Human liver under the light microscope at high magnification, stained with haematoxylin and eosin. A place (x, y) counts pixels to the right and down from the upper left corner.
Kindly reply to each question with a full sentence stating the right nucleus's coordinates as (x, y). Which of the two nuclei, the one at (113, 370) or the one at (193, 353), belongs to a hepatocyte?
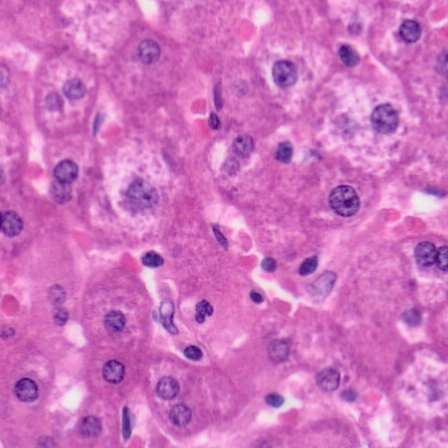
Answering which nucleus it is: the one at (113, 370), belonging to a hepatocyte.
